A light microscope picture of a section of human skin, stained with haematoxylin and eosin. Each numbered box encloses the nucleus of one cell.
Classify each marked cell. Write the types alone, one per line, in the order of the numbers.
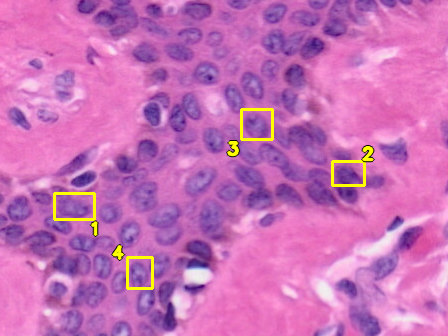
basal keratinocyte
basal keratinocyte
suprabasal keratinocyte
suprabasal keratinocyte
